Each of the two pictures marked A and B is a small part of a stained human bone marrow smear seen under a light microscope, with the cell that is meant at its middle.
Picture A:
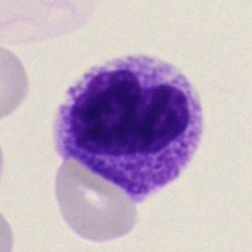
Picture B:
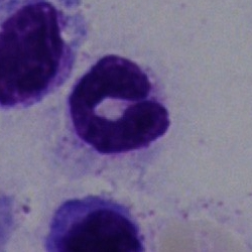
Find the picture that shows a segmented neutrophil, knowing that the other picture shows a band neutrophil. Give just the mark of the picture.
B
